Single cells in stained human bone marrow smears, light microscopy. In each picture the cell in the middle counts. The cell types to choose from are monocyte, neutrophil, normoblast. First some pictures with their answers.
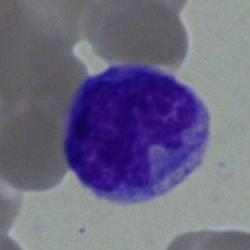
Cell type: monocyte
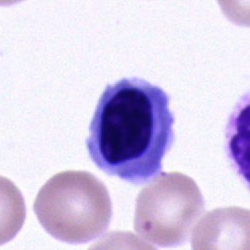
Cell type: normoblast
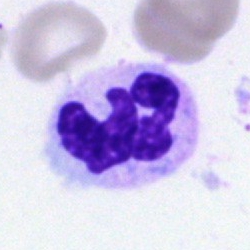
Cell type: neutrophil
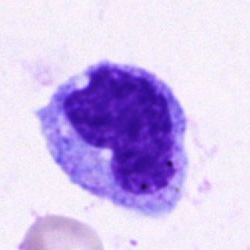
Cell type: monocyte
